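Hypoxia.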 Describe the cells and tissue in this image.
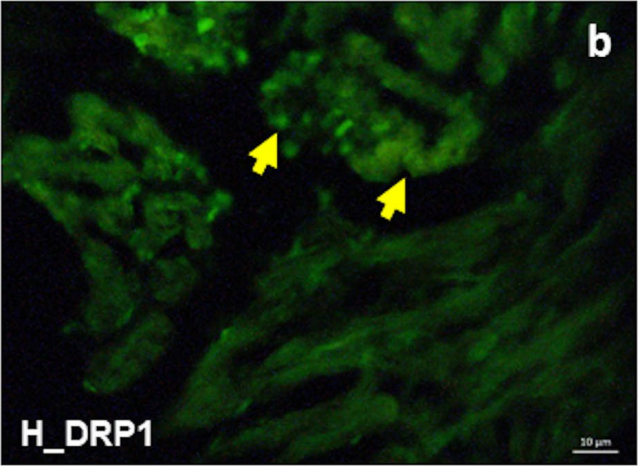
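Below and to the right, the tissue forms long fibrous bundles with weaker, diffuse green fluorescence. Dark unstained gaps separate the cell groups.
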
